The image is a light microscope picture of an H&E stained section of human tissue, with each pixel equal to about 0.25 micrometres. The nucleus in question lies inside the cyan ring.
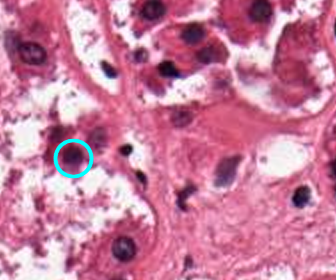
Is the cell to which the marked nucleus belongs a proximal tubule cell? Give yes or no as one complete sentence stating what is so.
Yes, the marked nucleus is one belonging to a proximal tubule cell.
